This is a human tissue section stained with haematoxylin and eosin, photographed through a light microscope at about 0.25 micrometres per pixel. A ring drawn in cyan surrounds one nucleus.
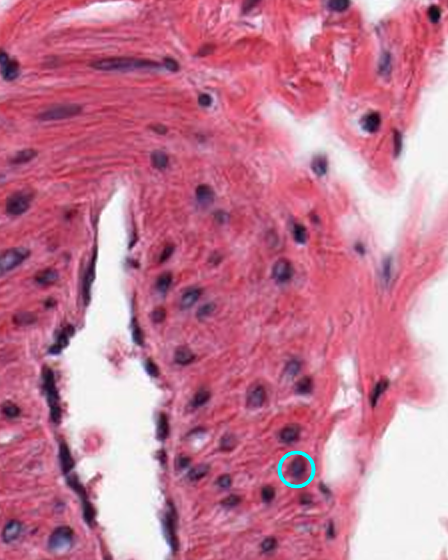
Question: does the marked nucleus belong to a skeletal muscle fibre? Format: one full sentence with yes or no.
No, the nucleus highlighted in the image does not belong to a skeletal muscle fibre.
